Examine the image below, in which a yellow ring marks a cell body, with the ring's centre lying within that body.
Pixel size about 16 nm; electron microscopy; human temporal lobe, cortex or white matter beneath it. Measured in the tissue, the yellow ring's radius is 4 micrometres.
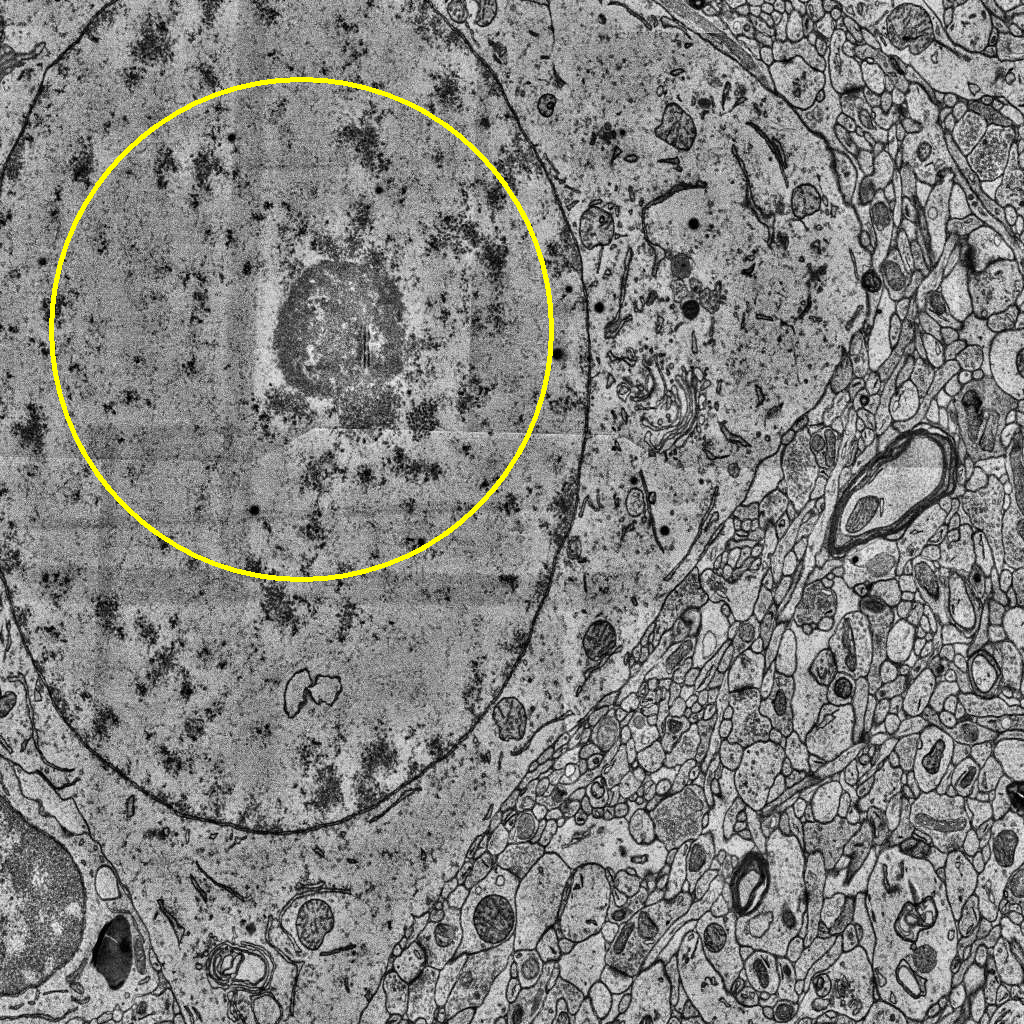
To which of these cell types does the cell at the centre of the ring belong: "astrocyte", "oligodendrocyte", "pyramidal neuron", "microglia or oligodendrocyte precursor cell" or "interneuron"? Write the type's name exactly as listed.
pyramidal neuron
